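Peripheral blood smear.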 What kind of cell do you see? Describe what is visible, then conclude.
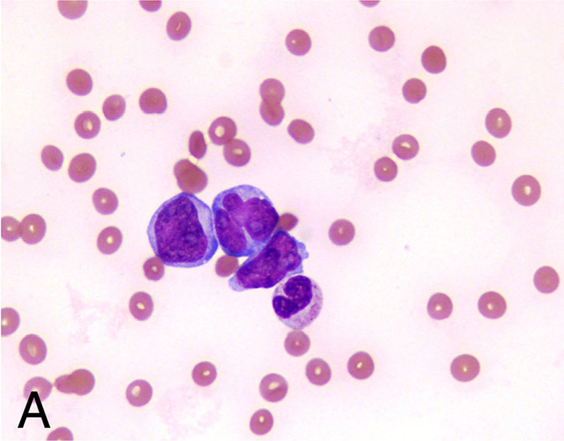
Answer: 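A small cluster of large nucleated cells lies among red blood cells. These large cells have big nuclei filling most of the cell. Their rim of cytoplasm is deep blue.
Hence: blast cells.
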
